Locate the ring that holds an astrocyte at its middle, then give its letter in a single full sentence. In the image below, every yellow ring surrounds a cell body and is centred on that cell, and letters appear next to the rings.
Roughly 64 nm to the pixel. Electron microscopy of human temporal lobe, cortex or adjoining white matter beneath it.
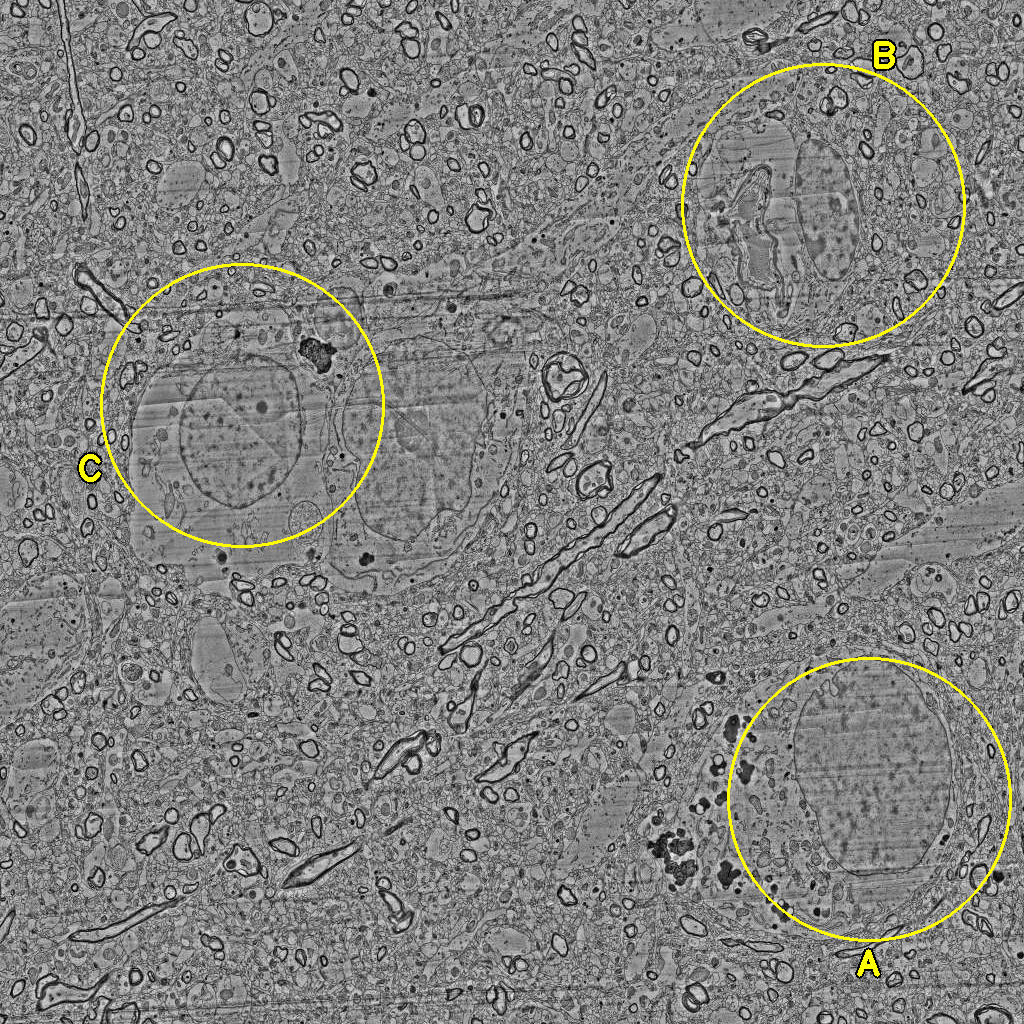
Ring C is the one centred on that kind of cell in the image.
